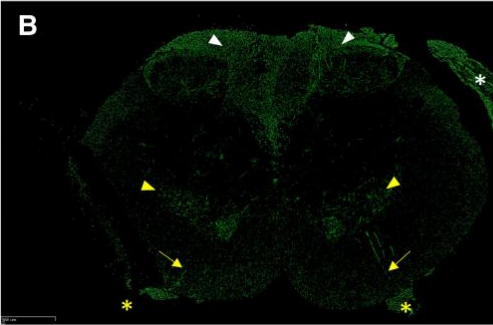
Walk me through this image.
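This is a whole transverse section of spinal cord, with the two halves divided by the midline and a detached nerve root lying off the dorsolateral edge. Green staining is uneven: it is brightest in the dorsal column region near the top, in the separate root bundle, and in strands at the ventral edge where roots leave the cord. Within the ventral grey matter there are brighter patches, and thin bright streaks run from there outward toward the ventral surface. Much of the remaining grey and white matter is only faintly stained.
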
